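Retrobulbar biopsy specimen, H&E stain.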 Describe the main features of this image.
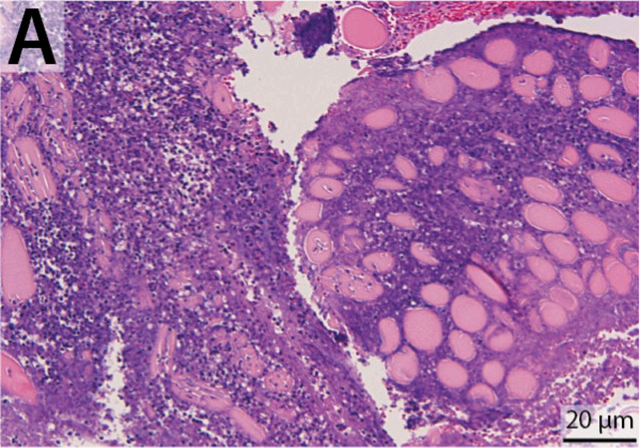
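This section shows skeletal muscle fibres separated by a dense cellular infiltrate. On the left, fibres cut lengthwise are also surrounded by the infiltrate. The normal orderly packing of muscle fibres is lost, with fibres lying isolated in the cellular tissue.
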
